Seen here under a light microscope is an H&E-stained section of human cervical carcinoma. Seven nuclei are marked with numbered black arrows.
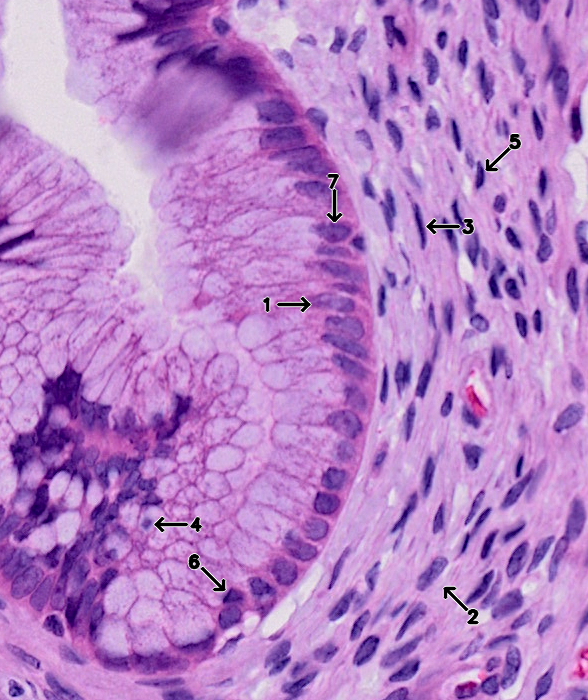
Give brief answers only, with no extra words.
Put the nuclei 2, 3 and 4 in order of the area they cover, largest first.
2, 3, 4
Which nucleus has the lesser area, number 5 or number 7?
5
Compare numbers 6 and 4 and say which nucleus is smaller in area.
4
